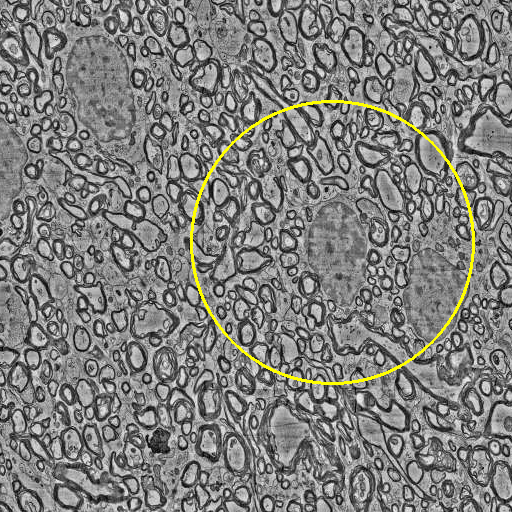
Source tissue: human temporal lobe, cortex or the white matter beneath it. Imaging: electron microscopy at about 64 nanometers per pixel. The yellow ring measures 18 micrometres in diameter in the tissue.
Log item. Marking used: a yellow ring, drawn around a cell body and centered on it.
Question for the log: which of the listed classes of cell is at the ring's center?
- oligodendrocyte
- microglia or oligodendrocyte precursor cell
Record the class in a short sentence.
At the center of the ring lies an oligodendrocyte.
